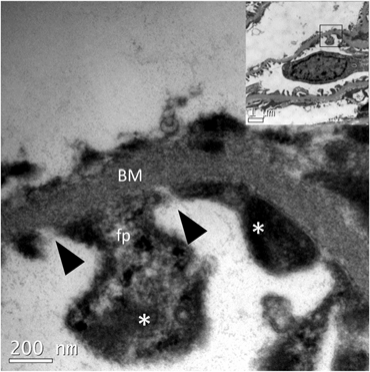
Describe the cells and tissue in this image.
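Here a podocyte rests on a thick grey glomerular basement membrane, but its foot processes are no longer a neat row of slender feet. They form a few broad, irregular masses of cytoplasm that spread along the membrane. The regular narrow slits between them are largely gone.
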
